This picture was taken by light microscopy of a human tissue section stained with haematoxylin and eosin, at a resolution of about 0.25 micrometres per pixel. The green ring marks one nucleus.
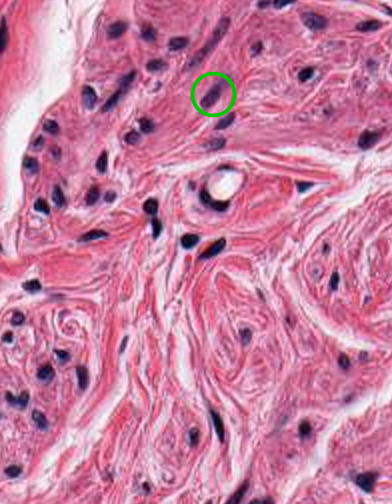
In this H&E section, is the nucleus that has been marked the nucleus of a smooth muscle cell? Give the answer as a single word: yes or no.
yes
